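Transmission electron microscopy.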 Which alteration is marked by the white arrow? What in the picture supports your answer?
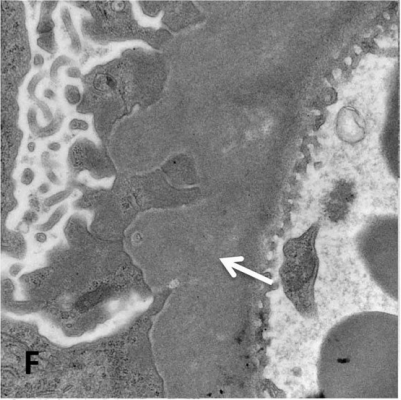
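A wide dense grey zone fills the middle of the panel. Its border with the overlying cell processes is irregular and lumpy.
Expanded glomerular basement membrane.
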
